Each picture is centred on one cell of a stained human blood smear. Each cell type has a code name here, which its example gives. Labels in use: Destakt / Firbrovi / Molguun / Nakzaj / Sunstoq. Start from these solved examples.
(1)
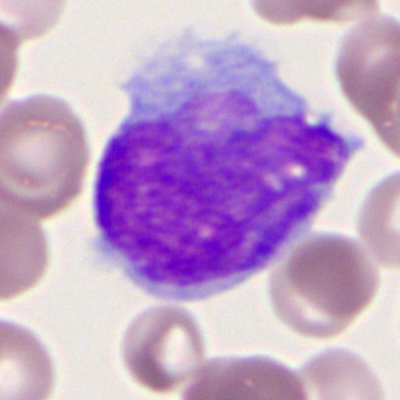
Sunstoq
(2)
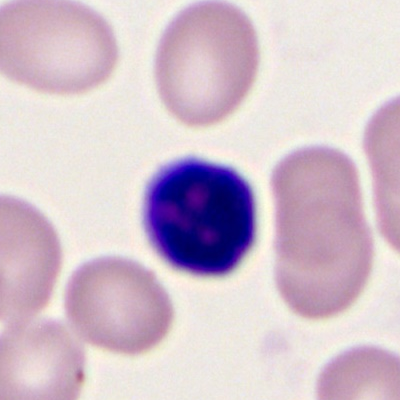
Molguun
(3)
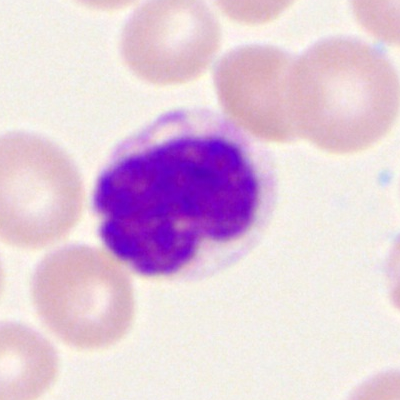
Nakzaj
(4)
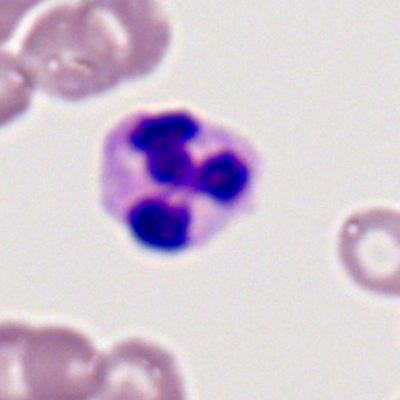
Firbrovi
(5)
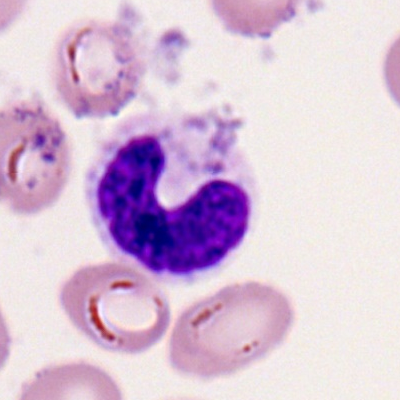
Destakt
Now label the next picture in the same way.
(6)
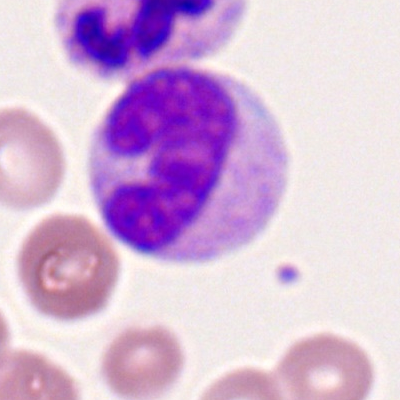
Sunstoq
